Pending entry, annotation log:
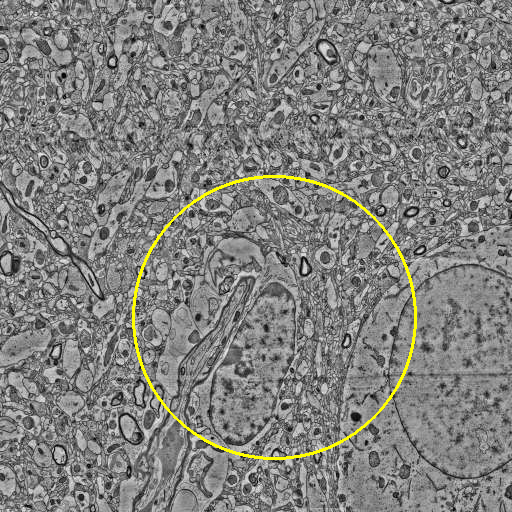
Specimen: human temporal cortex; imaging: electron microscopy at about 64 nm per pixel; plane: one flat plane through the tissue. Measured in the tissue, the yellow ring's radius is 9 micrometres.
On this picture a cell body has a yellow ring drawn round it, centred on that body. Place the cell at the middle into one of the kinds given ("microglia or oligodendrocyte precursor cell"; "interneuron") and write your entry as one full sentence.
The cell body at the middle of the yellow ring belongs to a microglial cell or oligodendrocyte precursor cell.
